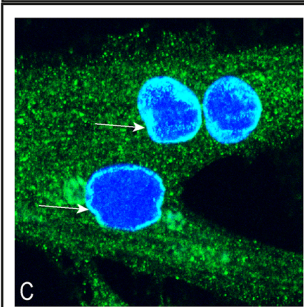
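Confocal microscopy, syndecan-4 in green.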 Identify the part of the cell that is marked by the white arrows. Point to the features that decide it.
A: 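The arrows point to the edge of oval blue nuclei. Each marked nucleus has a bright cyan rim along its outline, brighter than its interior. So: nuclear membrane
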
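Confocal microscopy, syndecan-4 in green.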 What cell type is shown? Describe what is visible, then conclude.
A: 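Myotubes. Three nuclei lie close together within one continuous green cytoplasm. The cytoplasm forms a long band running across the panel.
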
